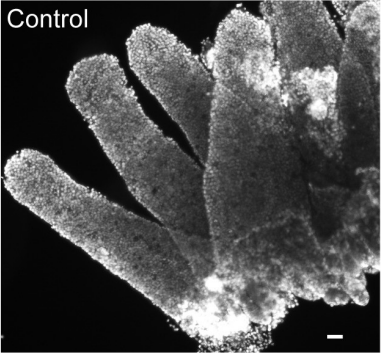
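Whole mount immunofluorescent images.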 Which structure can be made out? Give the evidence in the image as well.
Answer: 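Villi. Long finger-like projections with rounded tips. Surfaces densely covered by small bright nuclei. Projections rise side by side from a common base.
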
